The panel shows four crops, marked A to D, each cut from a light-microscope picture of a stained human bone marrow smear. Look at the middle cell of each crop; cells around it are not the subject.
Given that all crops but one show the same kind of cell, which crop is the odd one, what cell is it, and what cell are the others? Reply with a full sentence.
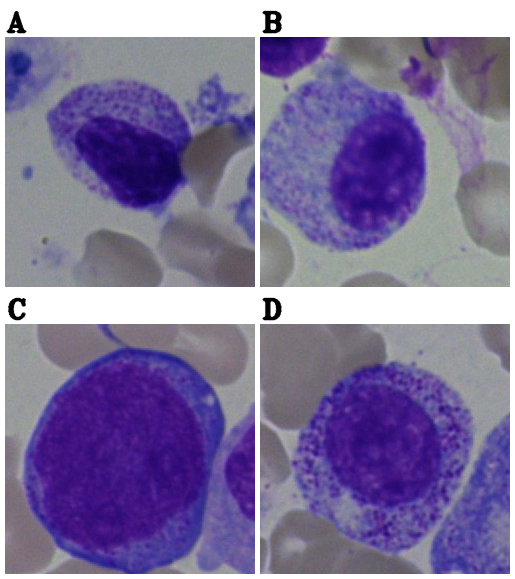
The odd one out is crop C, a blast, and all other crops show myelocytes.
